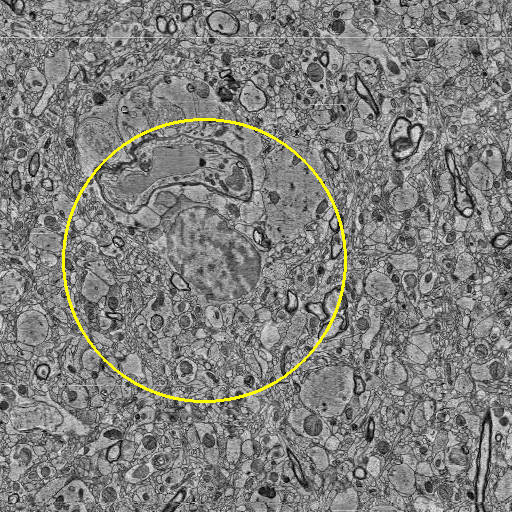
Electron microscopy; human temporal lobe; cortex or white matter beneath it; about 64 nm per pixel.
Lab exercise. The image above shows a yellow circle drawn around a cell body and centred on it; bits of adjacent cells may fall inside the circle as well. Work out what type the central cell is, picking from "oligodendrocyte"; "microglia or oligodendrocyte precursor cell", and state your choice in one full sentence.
In the image above, the cell at the centre of the yellow circle is an oligodendrocyte.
